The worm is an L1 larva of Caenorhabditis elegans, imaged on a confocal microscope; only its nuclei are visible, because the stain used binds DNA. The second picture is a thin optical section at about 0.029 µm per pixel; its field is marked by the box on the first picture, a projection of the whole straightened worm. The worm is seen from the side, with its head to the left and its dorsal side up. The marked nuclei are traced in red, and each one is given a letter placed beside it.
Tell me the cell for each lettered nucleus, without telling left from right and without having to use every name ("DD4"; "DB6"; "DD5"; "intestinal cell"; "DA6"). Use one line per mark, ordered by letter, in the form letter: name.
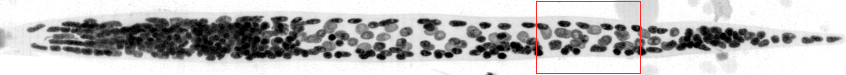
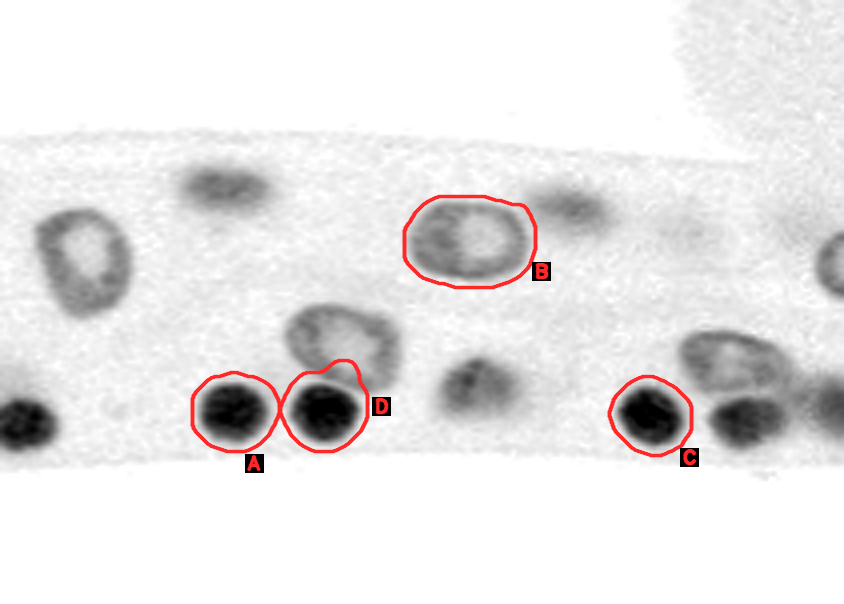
A: DB6
B: intestinal cell
C: DD5
D: DA6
